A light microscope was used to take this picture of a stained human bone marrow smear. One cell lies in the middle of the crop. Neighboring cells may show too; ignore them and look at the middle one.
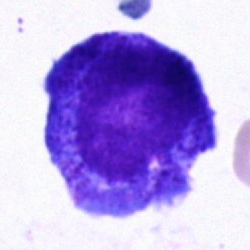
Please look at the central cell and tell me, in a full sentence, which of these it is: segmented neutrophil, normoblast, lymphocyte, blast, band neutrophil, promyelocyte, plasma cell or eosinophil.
Regarding the central cell, it is a promyelocyte.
